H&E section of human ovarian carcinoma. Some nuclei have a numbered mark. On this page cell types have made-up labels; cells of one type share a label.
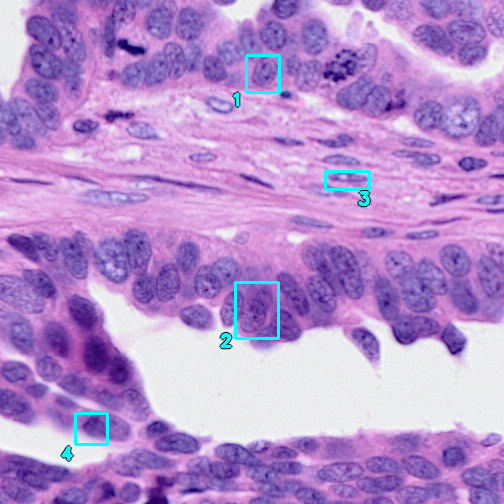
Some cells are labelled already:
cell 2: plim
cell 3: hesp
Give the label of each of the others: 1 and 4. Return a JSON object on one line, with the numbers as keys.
{"1": "plim", "4": "plim"}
